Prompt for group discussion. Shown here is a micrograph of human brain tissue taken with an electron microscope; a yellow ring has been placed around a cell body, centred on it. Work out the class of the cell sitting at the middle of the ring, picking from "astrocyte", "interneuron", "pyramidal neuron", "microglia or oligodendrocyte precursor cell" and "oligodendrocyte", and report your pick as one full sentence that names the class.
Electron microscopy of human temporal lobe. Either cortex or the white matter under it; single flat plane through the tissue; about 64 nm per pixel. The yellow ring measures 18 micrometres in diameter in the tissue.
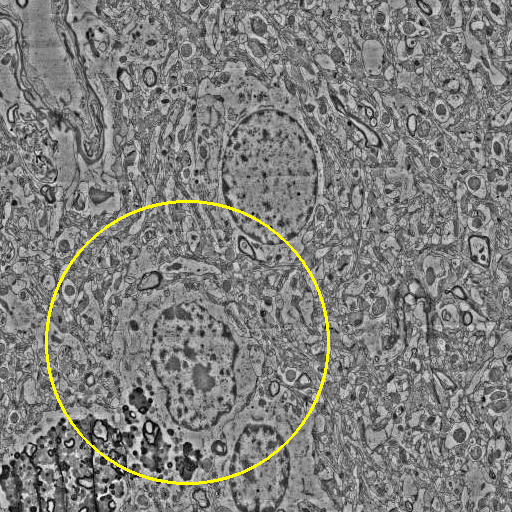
The cell sitting at the middle of the yellow ring is an astrocyte.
